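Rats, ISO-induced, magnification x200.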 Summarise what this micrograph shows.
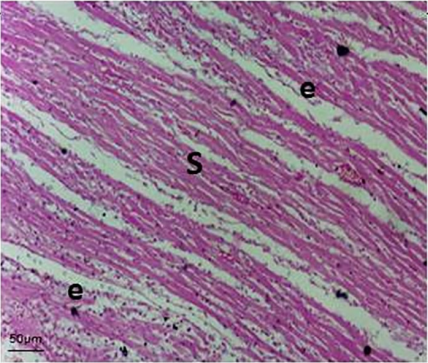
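Cardiac muscle with fibers separated into narrow bundles. The pink fibers run diagonally and remain roughly parallel. Broad clear spaces run between the bundles along their length. Small dark nuclei are scattered along the fibers. Compared with compact muscle, the fibers look thin and widely spaced.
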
